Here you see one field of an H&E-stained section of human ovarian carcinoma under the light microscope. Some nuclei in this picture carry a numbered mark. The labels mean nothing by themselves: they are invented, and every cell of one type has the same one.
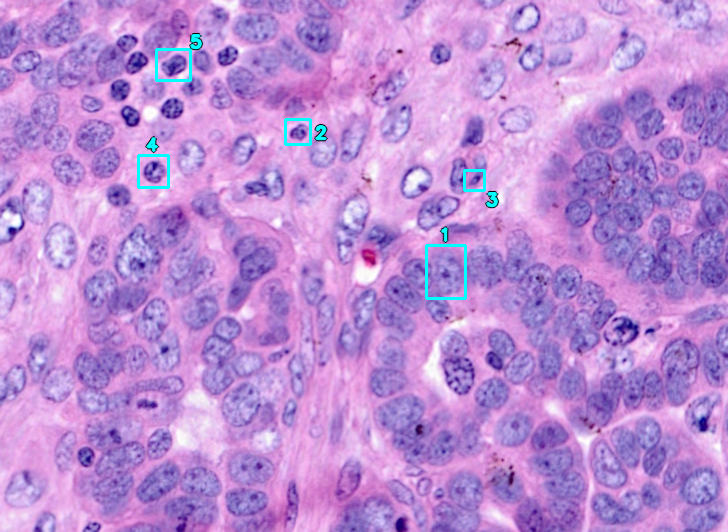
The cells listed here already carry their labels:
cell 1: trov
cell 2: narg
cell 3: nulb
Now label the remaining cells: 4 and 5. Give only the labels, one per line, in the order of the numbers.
narg
narg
